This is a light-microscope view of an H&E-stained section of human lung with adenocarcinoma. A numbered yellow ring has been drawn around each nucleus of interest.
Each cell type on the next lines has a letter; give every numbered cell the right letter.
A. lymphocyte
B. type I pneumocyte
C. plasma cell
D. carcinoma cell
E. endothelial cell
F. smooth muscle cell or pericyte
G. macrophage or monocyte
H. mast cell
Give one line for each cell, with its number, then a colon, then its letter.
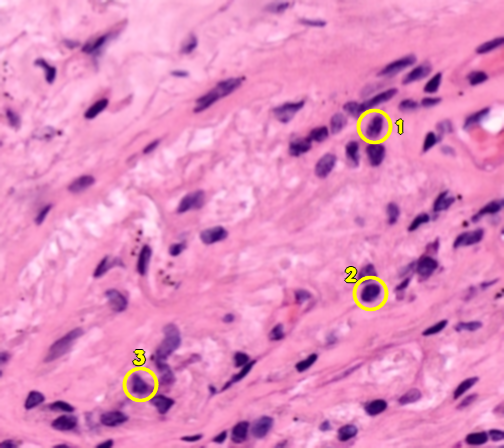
1: C
2: A
3: C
